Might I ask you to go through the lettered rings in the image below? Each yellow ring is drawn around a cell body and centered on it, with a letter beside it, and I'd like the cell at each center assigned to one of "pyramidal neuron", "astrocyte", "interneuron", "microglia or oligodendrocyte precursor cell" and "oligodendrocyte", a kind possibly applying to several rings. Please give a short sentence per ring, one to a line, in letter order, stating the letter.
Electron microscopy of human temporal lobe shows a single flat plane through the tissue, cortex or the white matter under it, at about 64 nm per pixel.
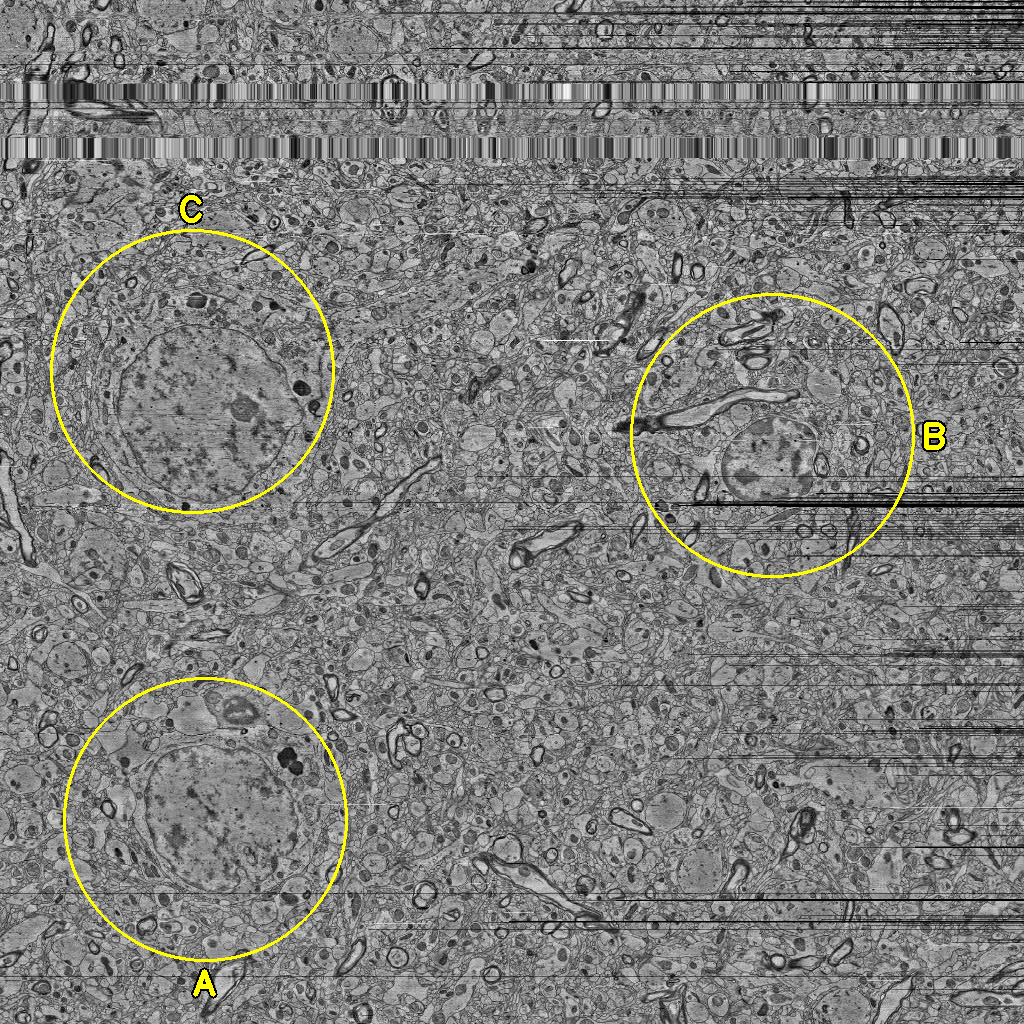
Ring A is centered on the body of an interneuron.
Ring B is centered on the body of a microglial cell or oligodendrocyte precursor cell.
Ring C is centered on the body of a pyramidal neuron.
